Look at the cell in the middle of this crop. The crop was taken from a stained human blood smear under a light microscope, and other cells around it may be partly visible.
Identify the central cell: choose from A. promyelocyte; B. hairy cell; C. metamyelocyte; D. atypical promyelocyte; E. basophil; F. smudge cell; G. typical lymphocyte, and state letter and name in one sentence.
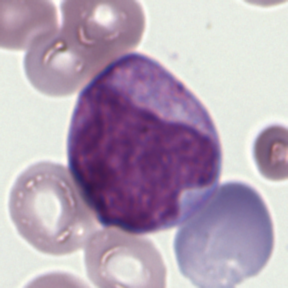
The cell in the middle is an atypical promyelocyte, so option D is correct.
